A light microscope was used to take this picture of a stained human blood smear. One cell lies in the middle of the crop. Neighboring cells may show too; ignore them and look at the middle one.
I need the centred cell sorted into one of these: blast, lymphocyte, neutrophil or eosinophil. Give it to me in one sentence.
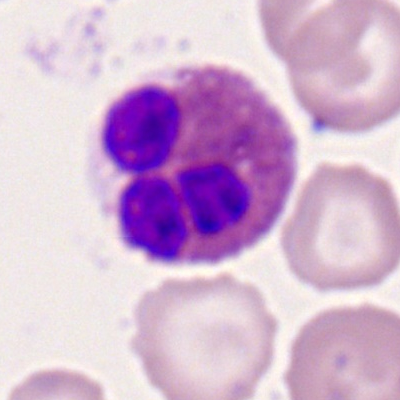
The center cell of this crop is an eosinophil.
